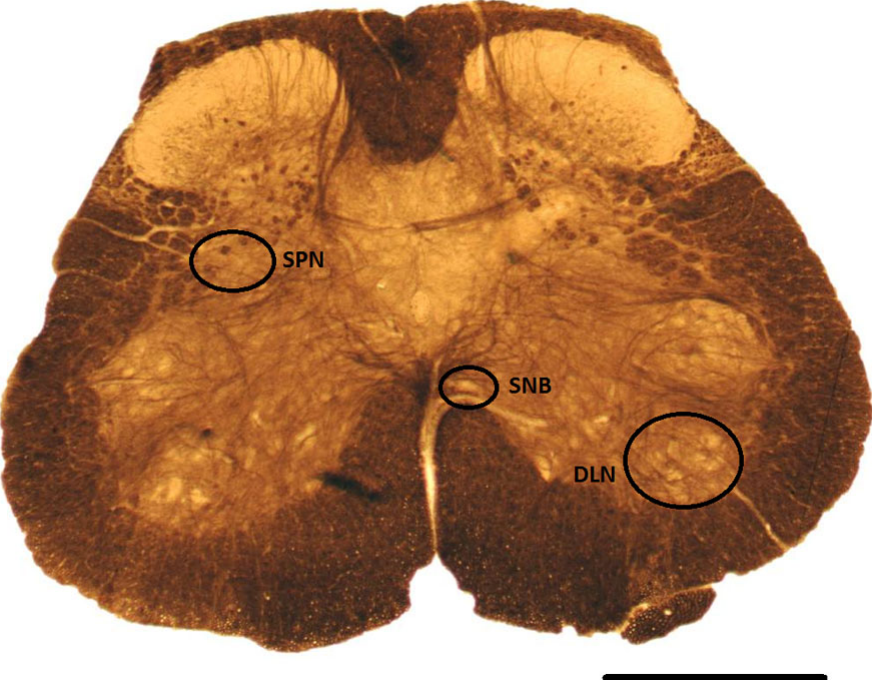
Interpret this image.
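This is a transverse section of spinal cord. Dark brown white matter surrounds paler grey matter. Two pale oval zones lie at the top on either side of a dark midline column, and a deep cleft enters the midline from the bottom. In the lower lateral grey matter there are clusters of large, pale, rounded cell bodies, which are motoneurons grouped into nuclei.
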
